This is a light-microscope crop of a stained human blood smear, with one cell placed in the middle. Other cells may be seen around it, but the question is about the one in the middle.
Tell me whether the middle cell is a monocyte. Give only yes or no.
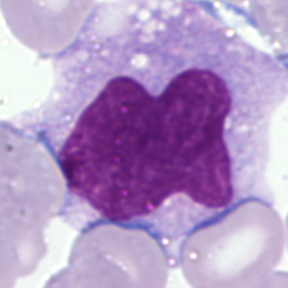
yes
